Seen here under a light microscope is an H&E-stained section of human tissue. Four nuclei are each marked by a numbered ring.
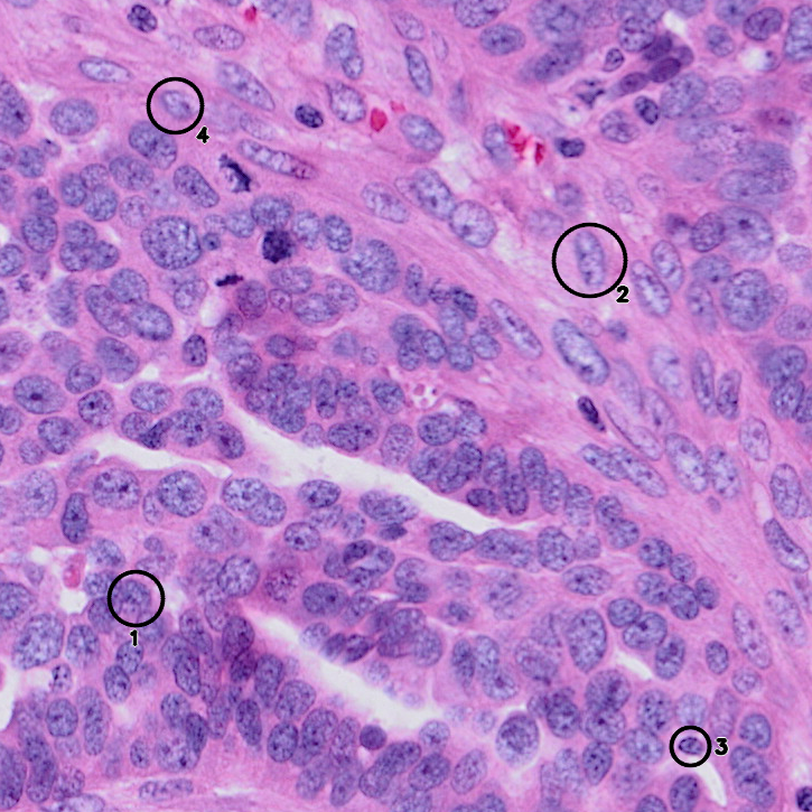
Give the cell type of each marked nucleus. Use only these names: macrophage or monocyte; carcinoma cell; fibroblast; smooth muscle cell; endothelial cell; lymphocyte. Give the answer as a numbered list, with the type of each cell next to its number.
1. carcinoma cell
2. fibroblast
3. lymphocyte
4. fibroblast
